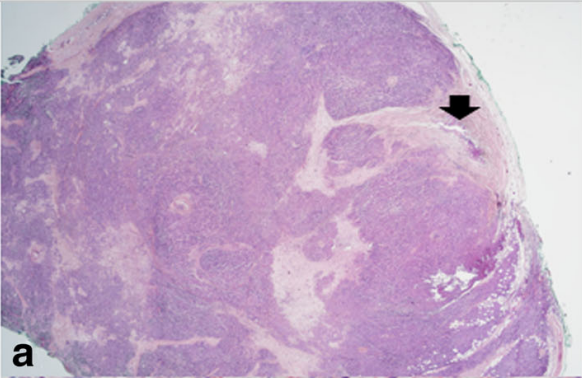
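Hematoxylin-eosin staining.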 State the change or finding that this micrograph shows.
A: Solid sheet of hyperchromatic cells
